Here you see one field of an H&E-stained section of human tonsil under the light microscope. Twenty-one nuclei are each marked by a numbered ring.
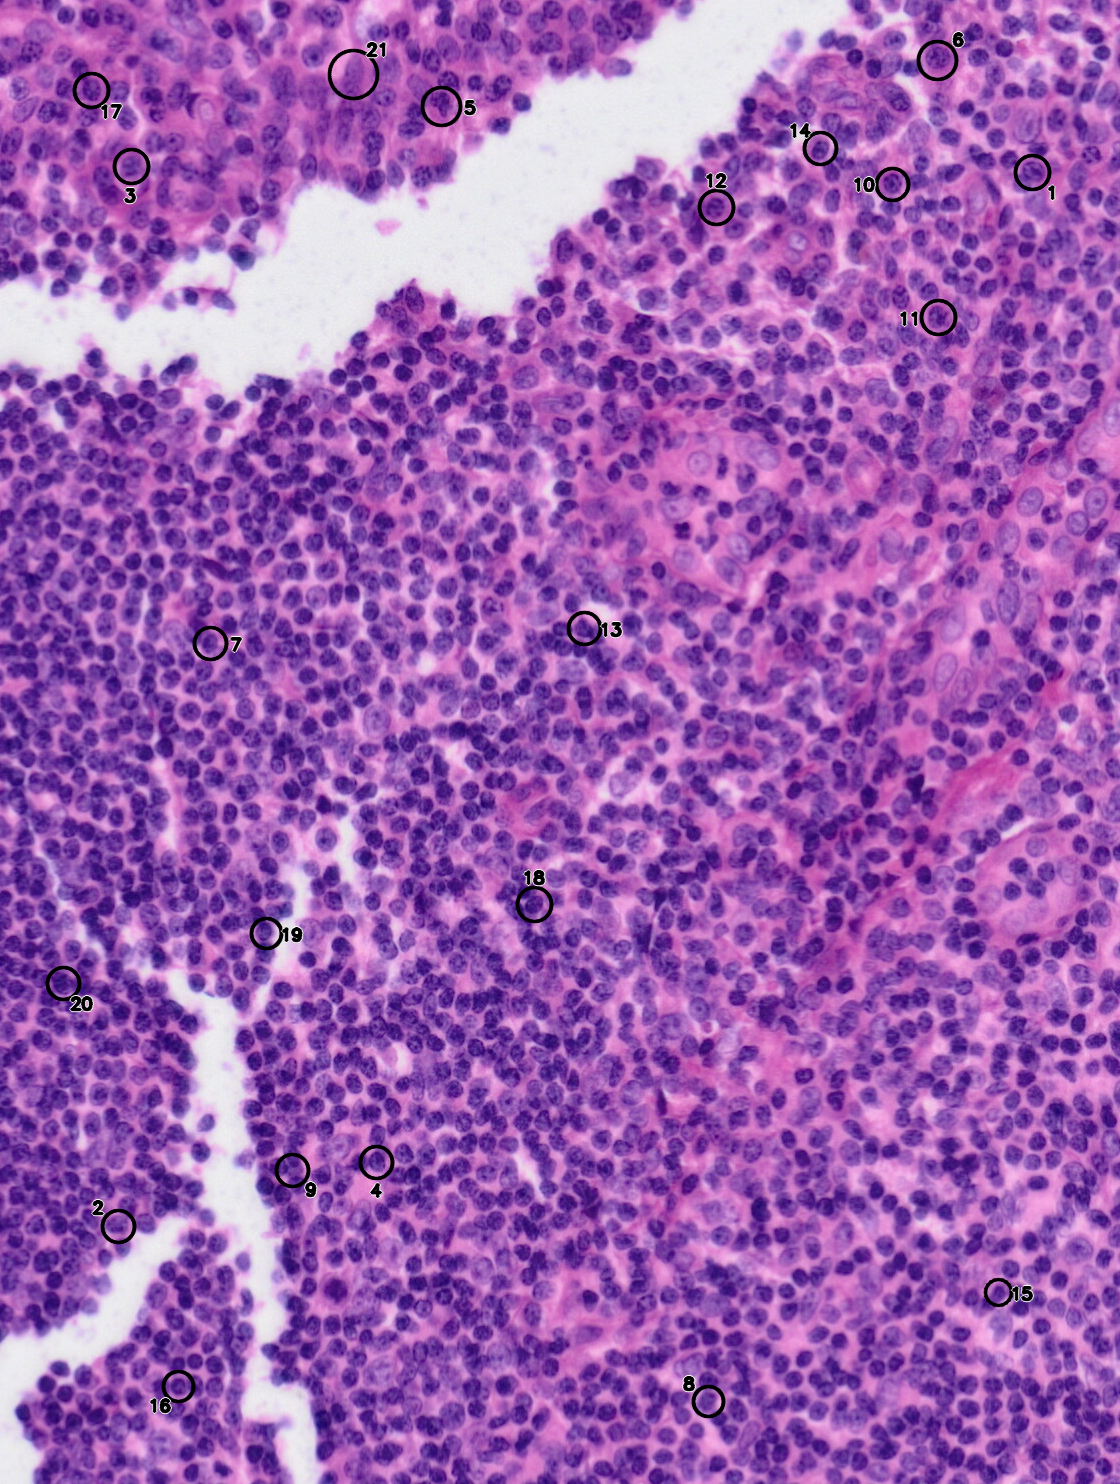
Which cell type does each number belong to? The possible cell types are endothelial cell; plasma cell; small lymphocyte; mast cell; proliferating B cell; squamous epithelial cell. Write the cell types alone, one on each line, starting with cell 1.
plasma cell
small lymphocyte
plasma cell
small lymphocyte
plasma cell
plasma cell
small lymphocyte
small lymphocyte
small lymphocyte
plasma cell
plasma cell
plasma cell
small lymphocyte
plasma cell
small lymphocyte
small lymphocyte
plasma cell
small lymphocyte
small lymphocyte
small lymphocyte
squamous epithelial cell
